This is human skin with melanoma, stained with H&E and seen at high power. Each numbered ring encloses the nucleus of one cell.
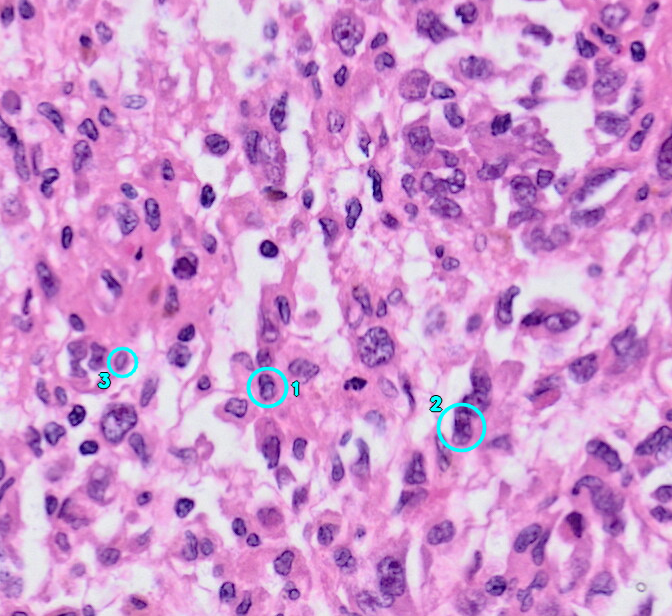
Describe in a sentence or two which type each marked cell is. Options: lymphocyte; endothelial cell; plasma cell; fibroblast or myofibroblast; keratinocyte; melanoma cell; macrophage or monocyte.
Cell 1 is a macrophage or monocyte, cell 2 is a melanoma cell and cell 3 is a macrophage or monocyte.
